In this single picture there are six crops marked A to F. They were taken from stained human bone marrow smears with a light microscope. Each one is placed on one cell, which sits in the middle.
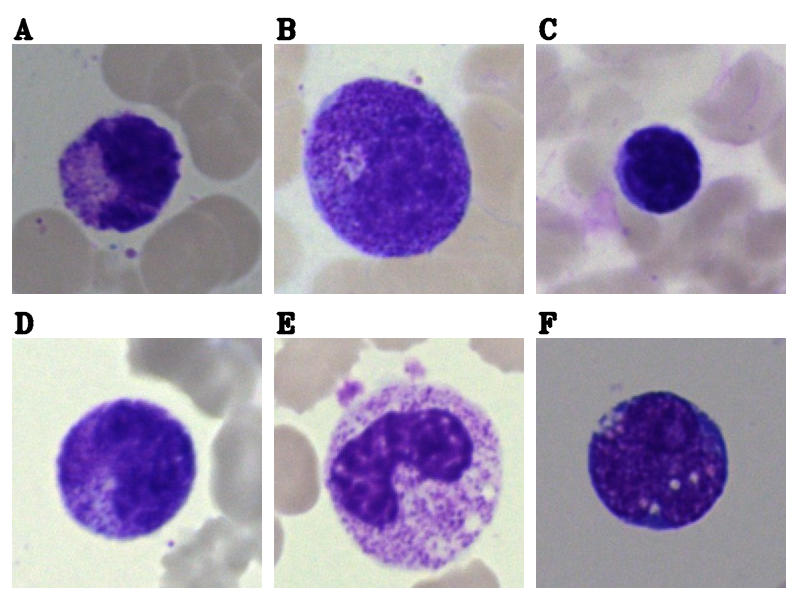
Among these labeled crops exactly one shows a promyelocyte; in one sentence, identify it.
The one crop that shows a promyelocyte is crop B.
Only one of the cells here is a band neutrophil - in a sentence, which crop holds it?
Crop E is the crop containing a band neutrophil.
